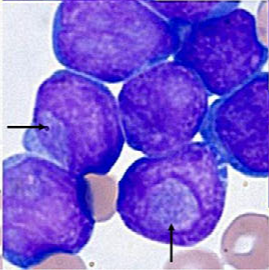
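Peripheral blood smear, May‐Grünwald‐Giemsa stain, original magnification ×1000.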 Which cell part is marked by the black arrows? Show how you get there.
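The arrows point to pale indented areas within the nuclei. The nucleus curves around the pale area.
Hence: nuclear invagination.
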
